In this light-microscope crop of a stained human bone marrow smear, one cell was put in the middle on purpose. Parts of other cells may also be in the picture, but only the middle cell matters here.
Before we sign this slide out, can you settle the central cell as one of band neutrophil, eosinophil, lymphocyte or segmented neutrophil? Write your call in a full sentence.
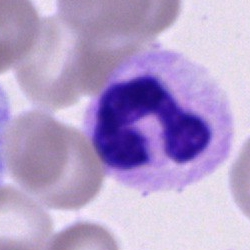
What the crop centres on is a segmented neutrophil.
